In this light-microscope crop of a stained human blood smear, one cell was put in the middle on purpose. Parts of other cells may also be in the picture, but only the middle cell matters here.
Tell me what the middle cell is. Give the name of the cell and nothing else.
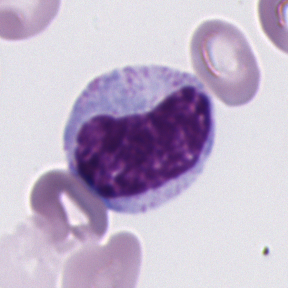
metamyelocyte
